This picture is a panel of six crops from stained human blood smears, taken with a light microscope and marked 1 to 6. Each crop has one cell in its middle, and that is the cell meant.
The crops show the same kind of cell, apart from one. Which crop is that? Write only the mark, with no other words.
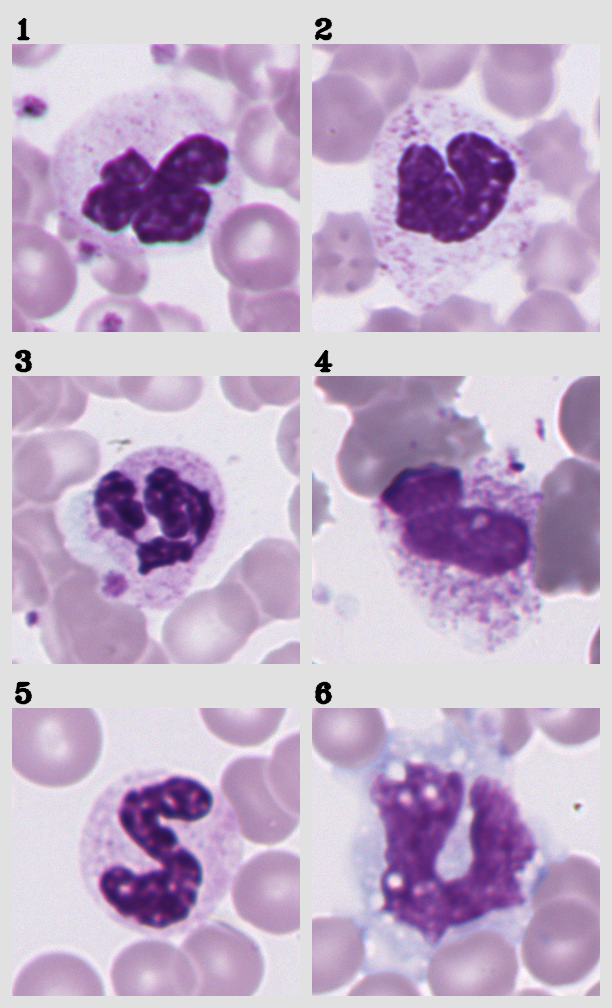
6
